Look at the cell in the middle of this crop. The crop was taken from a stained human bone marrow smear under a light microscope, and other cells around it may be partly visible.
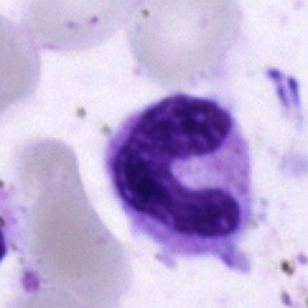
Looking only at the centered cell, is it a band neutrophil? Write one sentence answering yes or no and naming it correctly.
Yes, the middle cell is properly termed a band neutrophil.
